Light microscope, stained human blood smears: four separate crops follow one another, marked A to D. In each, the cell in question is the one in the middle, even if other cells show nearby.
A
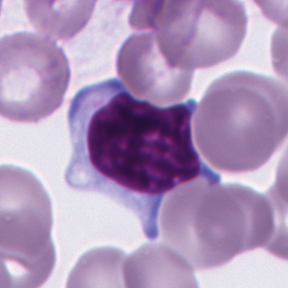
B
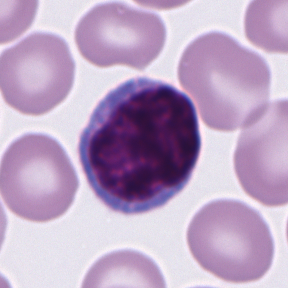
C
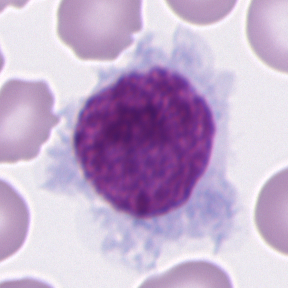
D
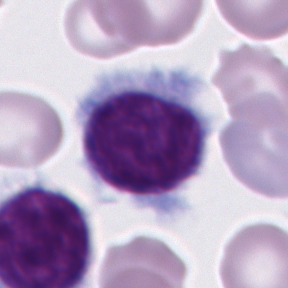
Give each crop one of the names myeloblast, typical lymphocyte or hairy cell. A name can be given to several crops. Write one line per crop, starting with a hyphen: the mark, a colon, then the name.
- A: typical lymphocyte
- B: typical lymphocyte
- C: hairy cell
- D: hairy cell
